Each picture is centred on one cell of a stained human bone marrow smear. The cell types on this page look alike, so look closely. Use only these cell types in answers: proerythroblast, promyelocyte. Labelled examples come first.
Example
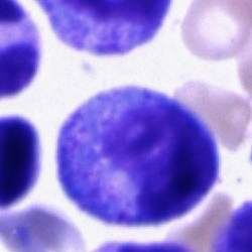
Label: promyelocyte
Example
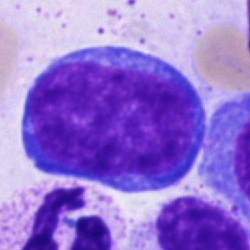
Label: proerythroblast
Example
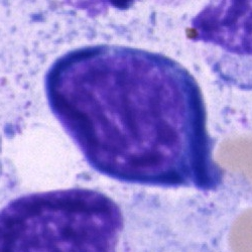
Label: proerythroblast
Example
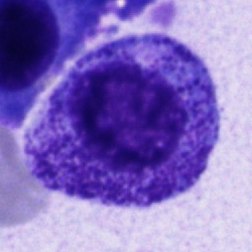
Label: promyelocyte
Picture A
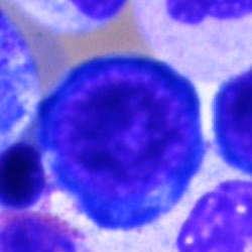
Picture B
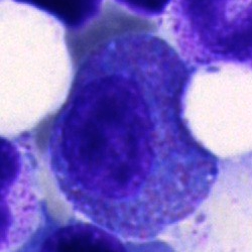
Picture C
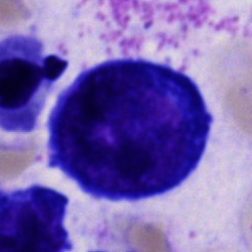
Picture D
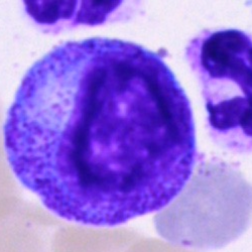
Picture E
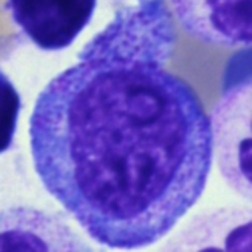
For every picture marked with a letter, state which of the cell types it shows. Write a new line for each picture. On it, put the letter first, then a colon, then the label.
A: proerythroblast
B: promyelocyte
C: proerythroblast
D: promyelocyte
E: promyelocyte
